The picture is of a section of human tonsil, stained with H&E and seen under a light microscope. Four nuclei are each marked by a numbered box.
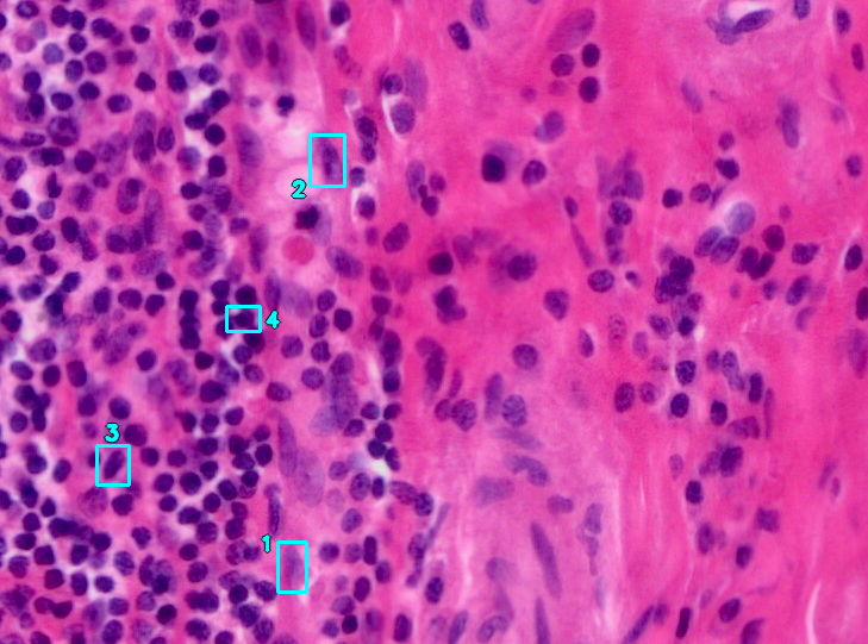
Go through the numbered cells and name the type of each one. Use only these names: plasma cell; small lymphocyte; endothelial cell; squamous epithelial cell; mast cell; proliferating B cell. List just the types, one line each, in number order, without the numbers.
endothelial cell
endothelial cell
endothelial cell
small lymphocyte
